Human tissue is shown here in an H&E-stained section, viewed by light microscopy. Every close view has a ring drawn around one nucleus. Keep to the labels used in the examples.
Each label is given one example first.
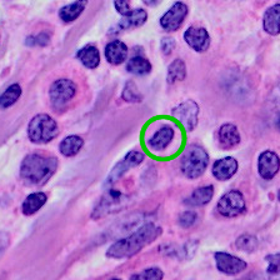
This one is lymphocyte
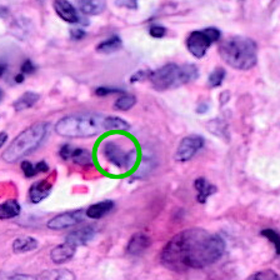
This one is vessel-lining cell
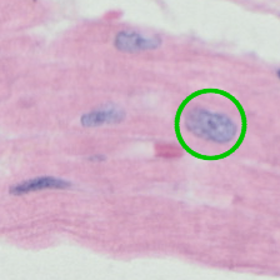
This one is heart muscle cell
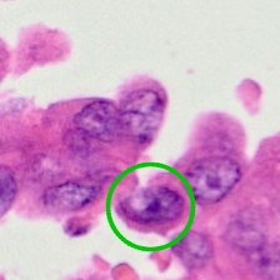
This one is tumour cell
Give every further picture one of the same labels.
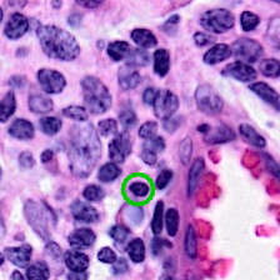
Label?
lymphocyte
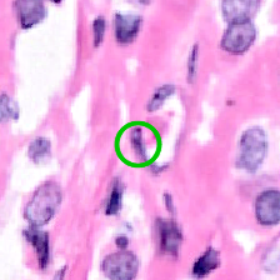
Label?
vessel-lining cell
